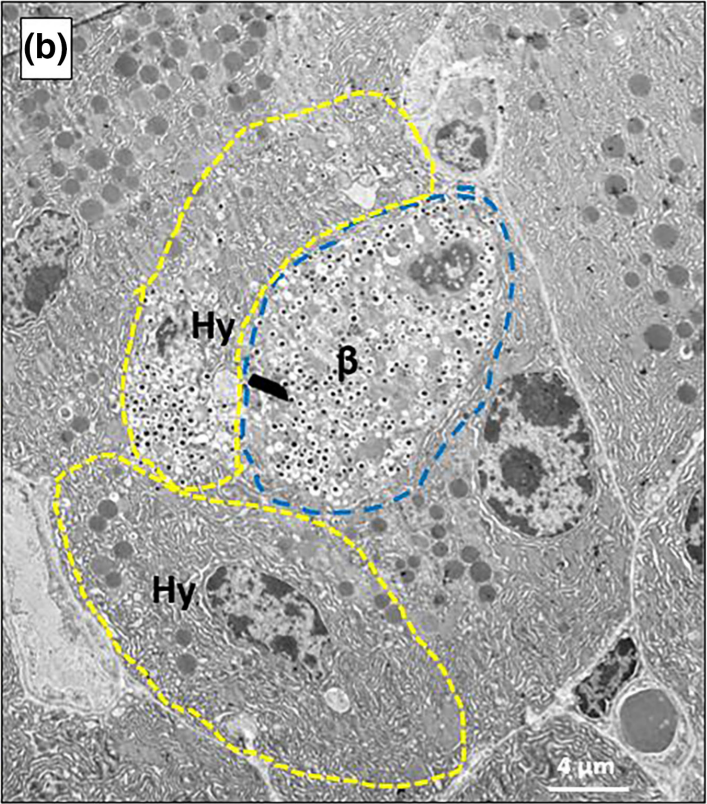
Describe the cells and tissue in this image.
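An electron micrograph of pancreas shows a small endocrine cell cluster among exocrine cells rich in parallel rough endoplasmic reticulum cisternae and large round dense granules. The cell beside it, outlined in yellow, contains similar small dense granules, while another yellow-outlined cell below shows stacked endoplasmic reticulum around an elongated nucleus. These cells lie directly against the surrounding exocrine cells.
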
